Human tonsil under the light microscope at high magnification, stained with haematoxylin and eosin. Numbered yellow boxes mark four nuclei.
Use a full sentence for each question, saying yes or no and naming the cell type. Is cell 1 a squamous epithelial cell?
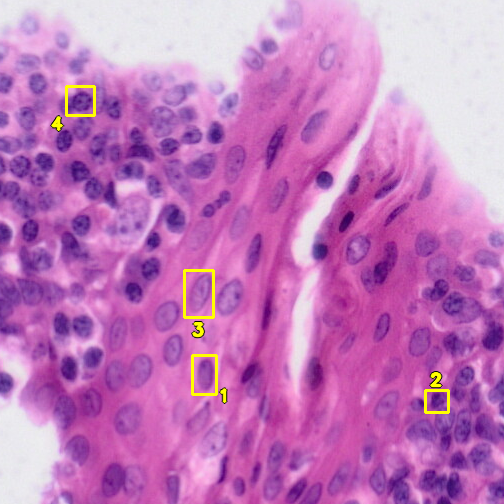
Yes, the numbered nucleus 1 is that of a squamous epithelial cell.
